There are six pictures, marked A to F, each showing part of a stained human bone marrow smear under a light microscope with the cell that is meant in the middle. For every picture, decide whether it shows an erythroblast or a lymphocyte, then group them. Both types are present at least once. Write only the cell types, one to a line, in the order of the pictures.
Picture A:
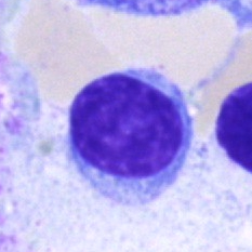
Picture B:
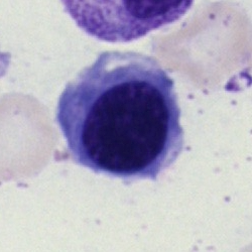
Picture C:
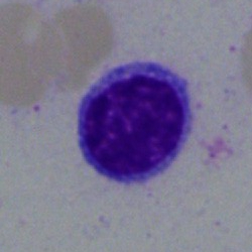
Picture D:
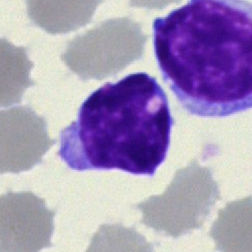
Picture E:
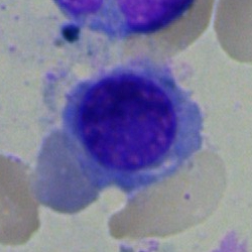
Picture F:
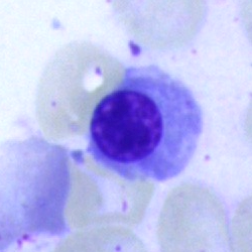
lymphocyte
erythroblast
lymphocyte
lymphocyte
erythroblast
erythroblast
